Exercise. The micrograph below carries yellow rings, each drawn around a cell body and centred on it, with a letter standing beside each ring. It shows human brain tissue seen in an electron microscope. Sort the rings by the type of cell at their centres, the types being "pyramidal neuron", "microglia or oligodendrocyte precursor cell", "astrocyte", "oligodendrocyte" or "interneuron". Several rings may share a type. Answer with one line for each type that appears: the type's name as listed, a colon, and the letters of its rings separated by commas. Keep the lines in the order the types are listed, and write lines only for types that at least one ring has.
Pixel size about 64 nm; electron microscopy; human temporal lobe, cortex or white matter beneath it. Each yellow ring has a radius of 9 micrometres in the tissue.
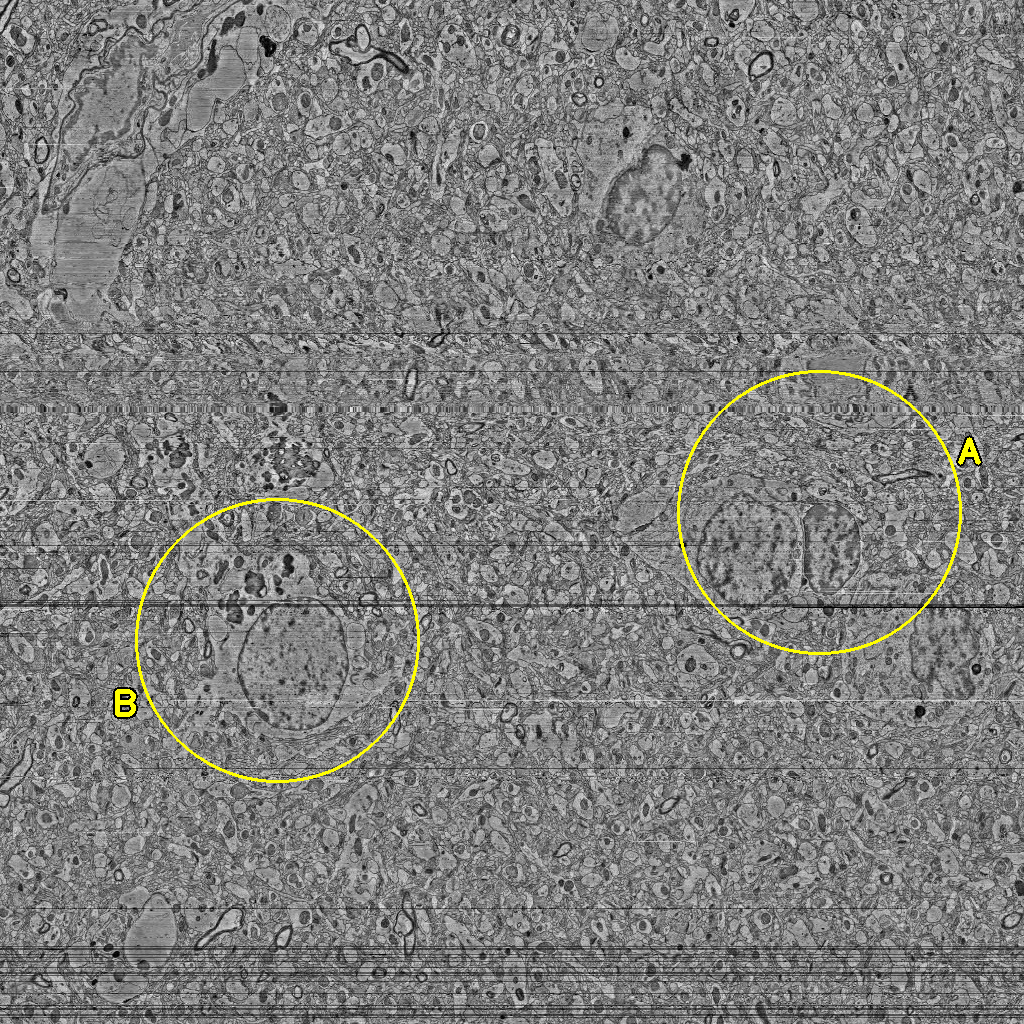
microglia or oligodendrocyte precursor cell: A
astrocyte: B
